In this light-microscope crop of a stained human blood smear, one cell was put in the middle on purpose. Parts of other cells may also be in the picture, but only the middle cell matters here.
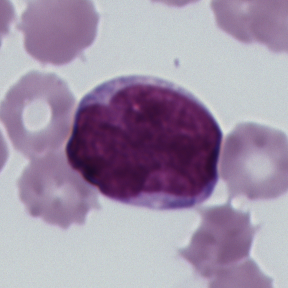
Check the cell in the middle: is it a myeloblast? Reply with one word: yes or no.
yes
